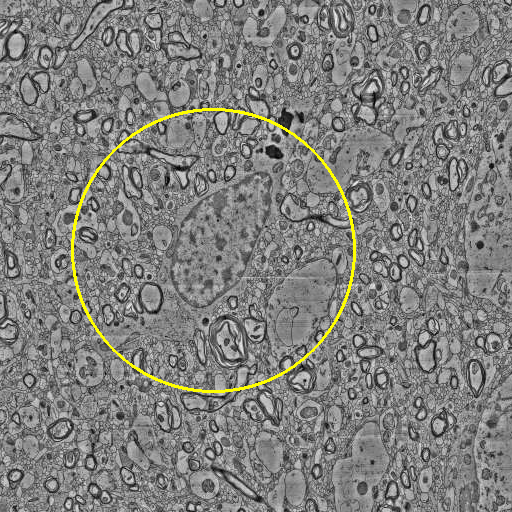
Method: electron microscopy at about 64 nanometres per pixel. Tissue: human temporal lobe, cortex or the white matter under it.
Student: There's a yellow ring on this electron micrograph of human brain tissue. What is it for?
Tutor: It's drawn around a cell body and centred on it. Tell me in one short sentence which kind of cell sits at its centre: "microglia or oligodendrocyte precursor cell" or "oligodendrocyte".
The cell at the centre of the ring is an oligodendrocyte.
